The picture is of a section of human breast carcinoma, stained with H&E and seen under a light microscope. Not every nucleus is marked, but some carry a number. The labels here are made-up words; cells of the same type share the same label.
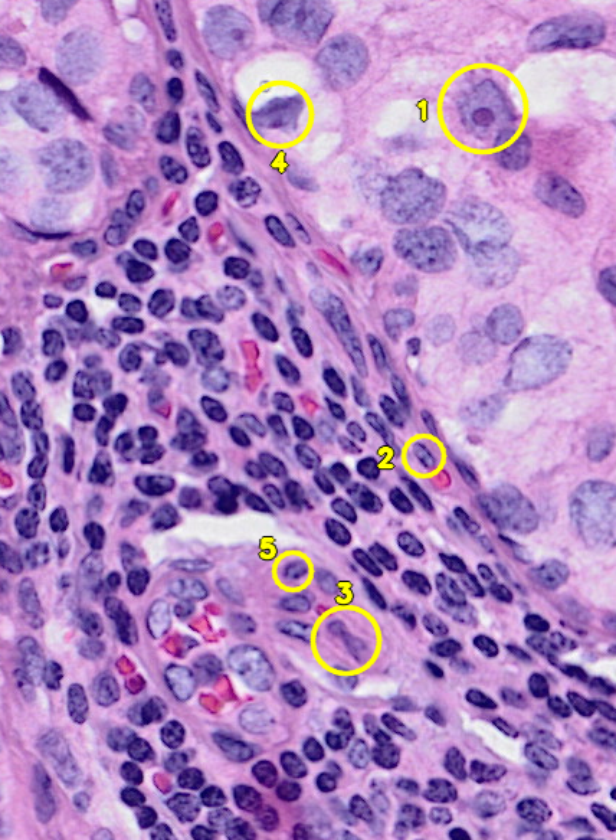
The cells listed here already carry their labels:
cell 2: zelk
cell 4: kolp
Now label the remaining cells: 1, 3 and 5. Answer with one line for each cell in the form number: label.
1: kolp
3: zelk
5: zelk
